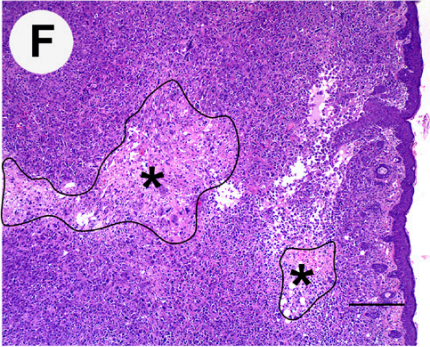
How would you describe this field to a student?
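This tumor section is mostly dense, purple viable tumor tissue with only small necrotic areas. The two outlined necrotic foci are paler and looser, with fewer intact nuclei than the crowded tumor cells around them. At the right edge a thin layer of surface epithelium runs along the section above the tumor. The tumor cells between are packed closely in sheets with little space between them.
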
